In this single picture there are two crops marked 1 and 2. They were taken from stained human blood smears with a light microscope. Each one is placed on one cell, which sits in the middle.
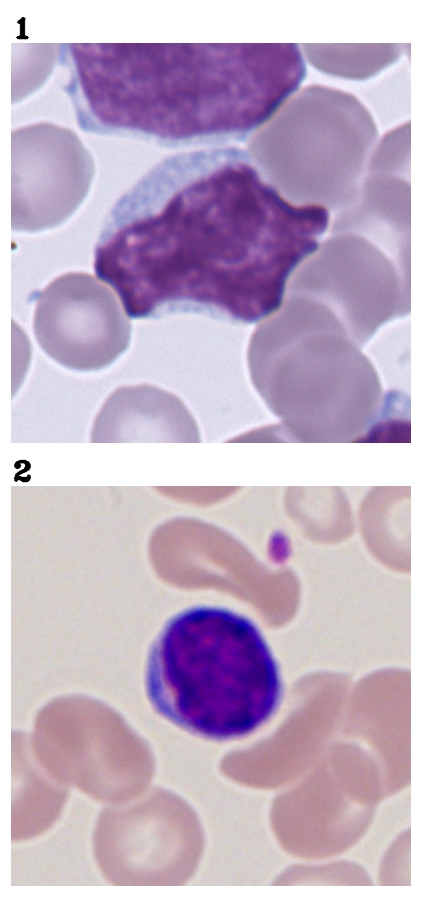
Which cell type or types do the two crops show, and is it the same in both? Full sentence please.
Yes, in the two crops, lymphocytes are the cells at the centre.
